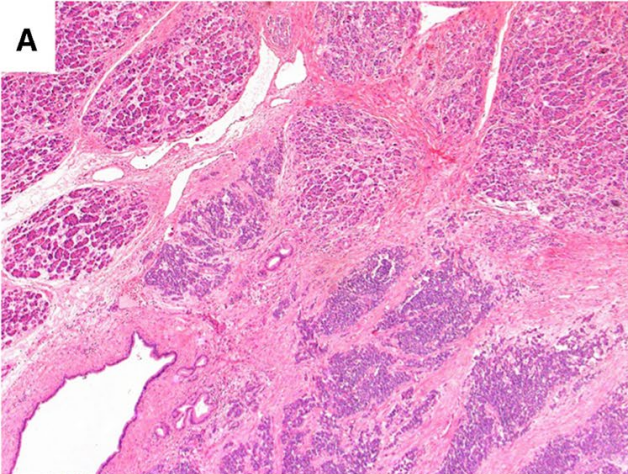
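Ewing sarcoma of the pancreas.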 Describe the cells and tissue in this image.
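At low power, nested cell groups of a small round cell tumour infiltrate pancreatic tissue. In the upper left, lobules of pink, granular acinar tissue are preserved, separated by loose connective tissue with a few small ducts and a larger dilated duct in the lower left. Toward the lower and right parts, more basophilic purple nests of tumour cells are embedded in dense, pale pink sclerotic stroma, which forms broad fibrous bands dividing the nests. The tumour nests lie directly beside and between the remaining acinar lobules, showing the infiltrative growth.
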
